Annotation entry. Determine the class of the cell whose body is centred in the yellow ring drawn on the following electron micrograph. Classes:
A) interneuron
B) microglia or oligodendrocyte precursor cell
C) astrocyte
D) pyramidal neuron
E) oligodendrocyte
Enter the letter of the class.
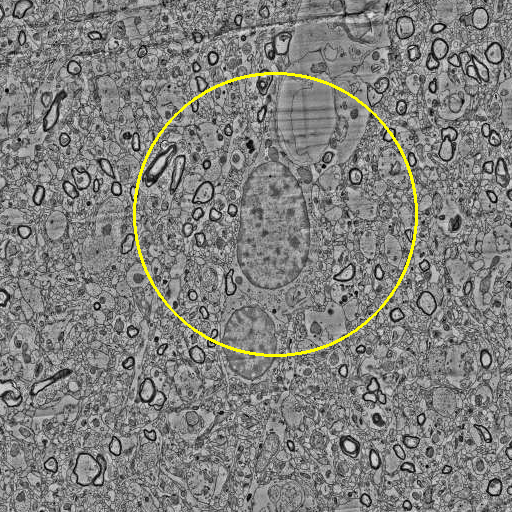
E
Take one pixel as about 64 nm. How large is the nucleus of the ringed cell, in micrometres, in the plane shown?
The nucleus of the ringed cell is approximately 7 by 5 micrometres in this plane.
